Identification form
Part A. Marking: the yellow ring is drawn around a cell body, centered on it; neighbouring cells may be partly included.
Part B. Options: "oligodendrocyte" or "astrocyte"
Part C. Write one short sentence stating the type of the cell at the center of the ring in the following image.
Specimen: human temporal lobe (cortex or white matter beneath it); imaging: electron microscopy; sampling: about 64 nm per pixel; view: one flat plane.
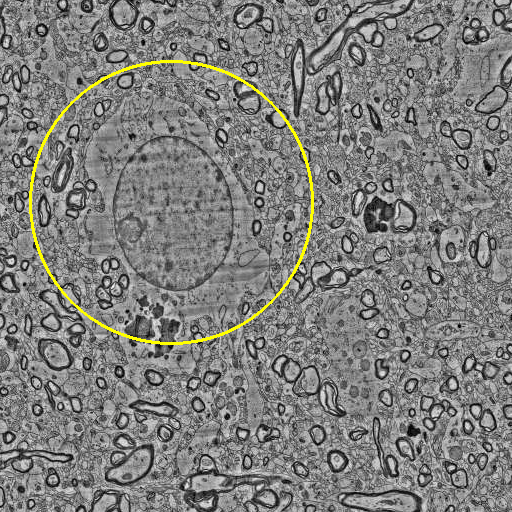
The center of the ring holds an astrocyte.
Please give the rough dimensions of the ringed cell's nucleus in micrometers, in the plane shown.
In this plane the nucleus spans approximately 10 by 8 micrometers.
